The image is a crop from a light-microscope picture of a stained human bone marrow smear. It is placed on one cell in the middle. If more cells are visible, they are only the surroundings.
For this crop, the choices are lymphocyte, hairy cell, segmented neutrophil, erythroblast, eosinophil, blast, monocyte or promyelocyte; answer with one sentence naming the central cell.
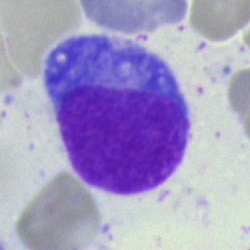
The cell at the middle of the frame should be recorded as a blast.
